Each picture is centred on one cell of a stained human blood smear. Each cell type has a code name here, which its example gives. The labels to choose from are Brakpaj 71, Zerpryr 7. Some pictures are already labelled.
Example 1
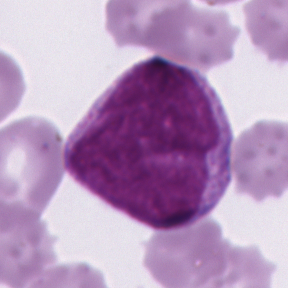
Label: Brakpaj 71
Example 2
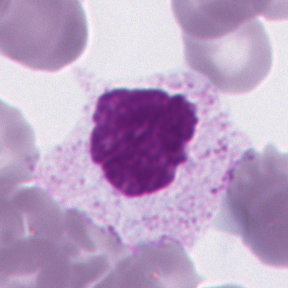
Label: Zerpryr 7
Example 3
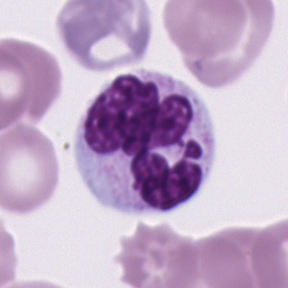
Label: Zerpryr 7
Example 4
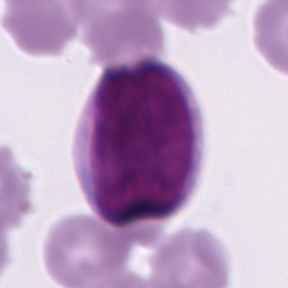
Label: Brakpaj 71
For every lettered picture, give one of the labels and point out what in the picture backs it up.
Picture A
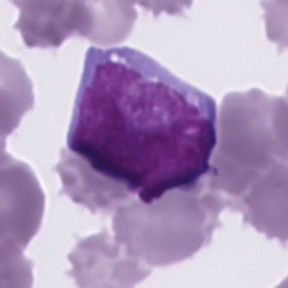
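Answer: Brakpaj 71. The cytoplasm forms a narrow rim that is widest along the top of the cell.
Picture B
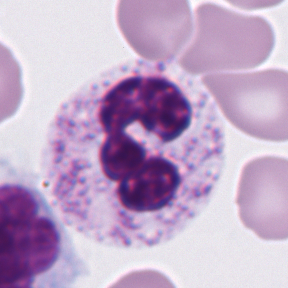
Answer: Zerpryr 7. The cytoplasm is abundant and pale pink.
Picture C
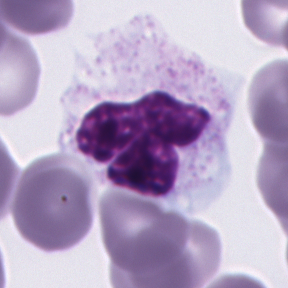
Answer: Zerpryr 7. The cytoplasm is plentiful and is widest above the nucleus.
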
